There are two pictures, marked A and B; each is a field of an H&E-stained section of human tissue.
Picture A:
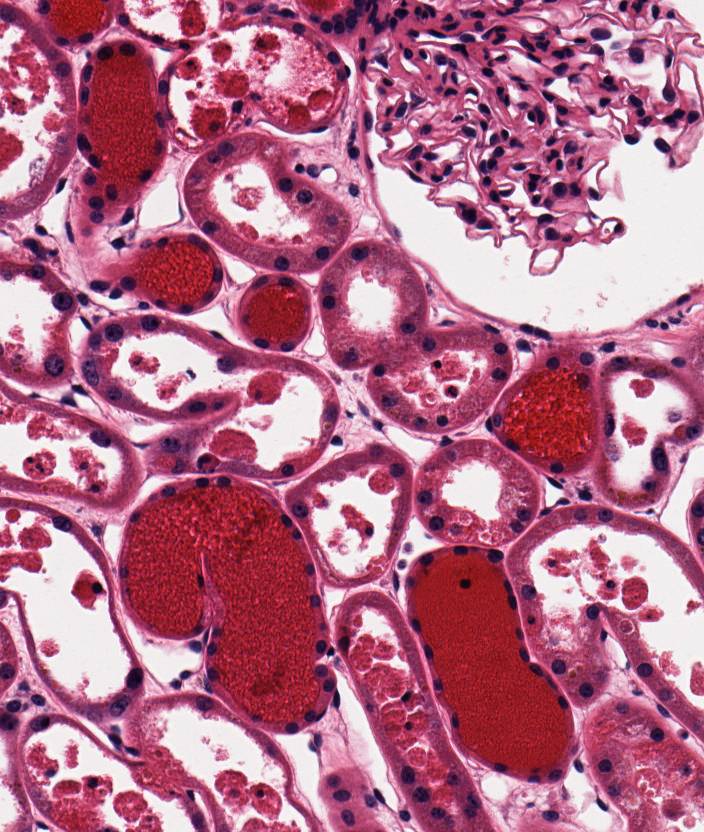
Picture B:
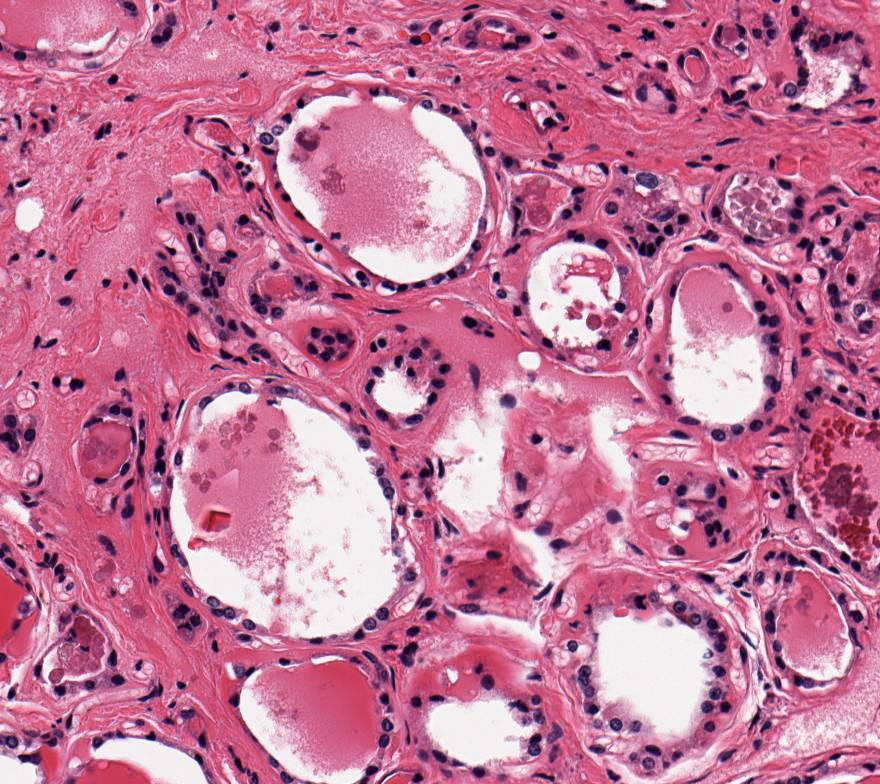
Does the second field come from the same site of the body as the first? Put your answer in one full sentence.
No. Picture A comes from the renal cortex, whereas picture B comes from the thyroid.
